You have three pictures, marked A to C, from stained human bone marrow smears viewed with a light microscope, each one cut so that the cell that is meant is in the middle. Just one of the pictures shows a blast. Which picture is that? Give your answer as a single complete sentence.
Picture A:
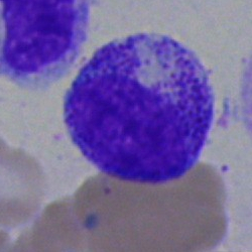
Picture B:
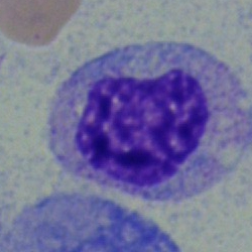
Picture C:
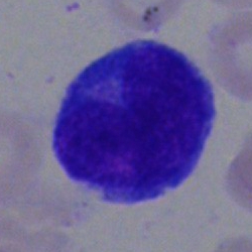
The blast is the one in picture C.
